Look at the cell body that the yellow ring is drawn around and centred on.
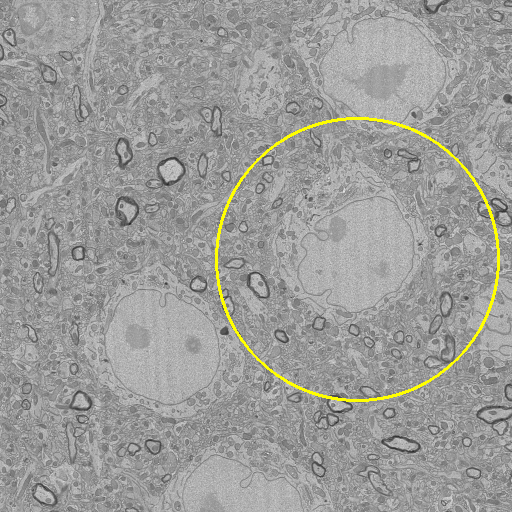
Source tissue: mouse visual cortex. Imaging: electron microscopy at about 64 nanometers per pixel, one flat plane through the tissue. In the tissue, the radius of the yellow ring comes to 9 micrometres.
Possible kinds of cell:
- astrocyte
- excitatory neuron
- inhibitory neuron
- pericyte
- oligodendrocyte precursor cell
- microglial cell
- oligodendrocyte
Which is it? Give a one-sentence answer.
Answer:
The centred cell body is that of an excitatory neuron.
